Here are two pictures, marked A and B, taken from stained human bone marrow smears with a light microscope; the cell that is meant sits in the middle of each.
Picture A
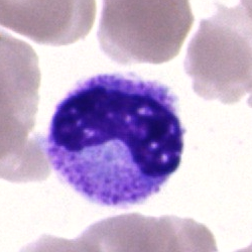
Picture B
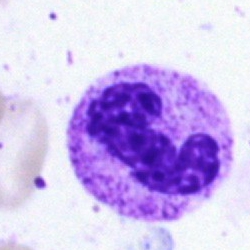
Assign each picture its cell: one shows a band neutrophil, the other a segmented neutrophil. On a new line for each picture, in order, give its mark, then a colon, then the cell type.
A: band neutrophil
B: segmented neutrophil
